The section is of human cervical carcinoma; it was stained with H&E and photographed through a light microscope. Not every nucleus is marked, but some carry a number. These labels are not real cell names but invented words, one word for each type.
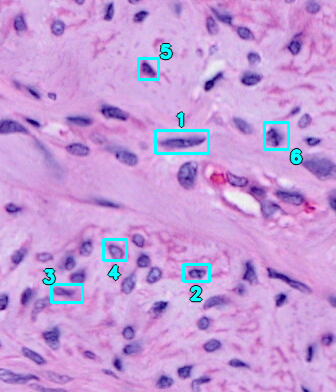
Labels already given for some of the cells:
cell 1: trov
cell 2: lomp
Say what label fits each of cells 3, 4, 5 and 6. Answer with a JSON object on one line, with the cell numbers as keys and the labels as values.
{"3": "lomp", "4": "lomp", "5": "lomp", "6": "trov"}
